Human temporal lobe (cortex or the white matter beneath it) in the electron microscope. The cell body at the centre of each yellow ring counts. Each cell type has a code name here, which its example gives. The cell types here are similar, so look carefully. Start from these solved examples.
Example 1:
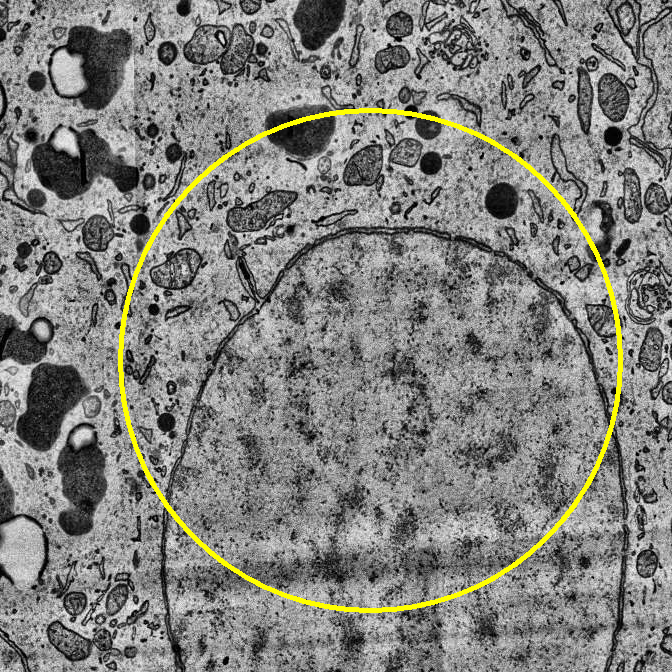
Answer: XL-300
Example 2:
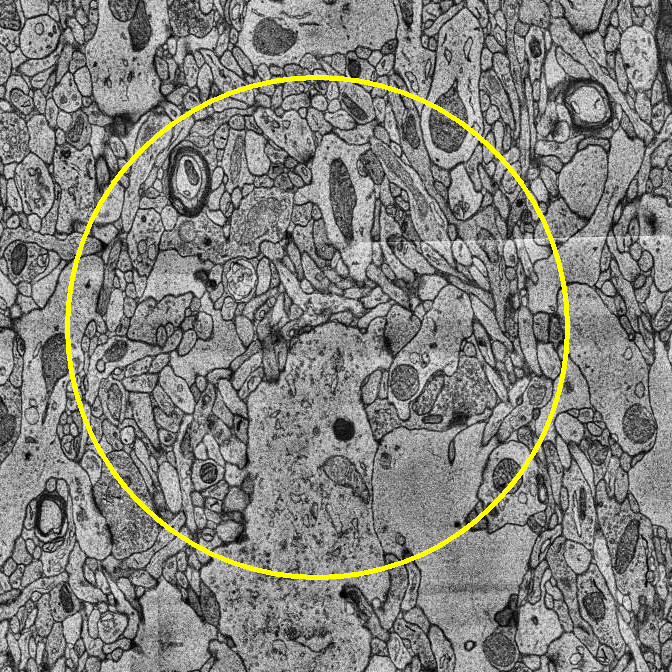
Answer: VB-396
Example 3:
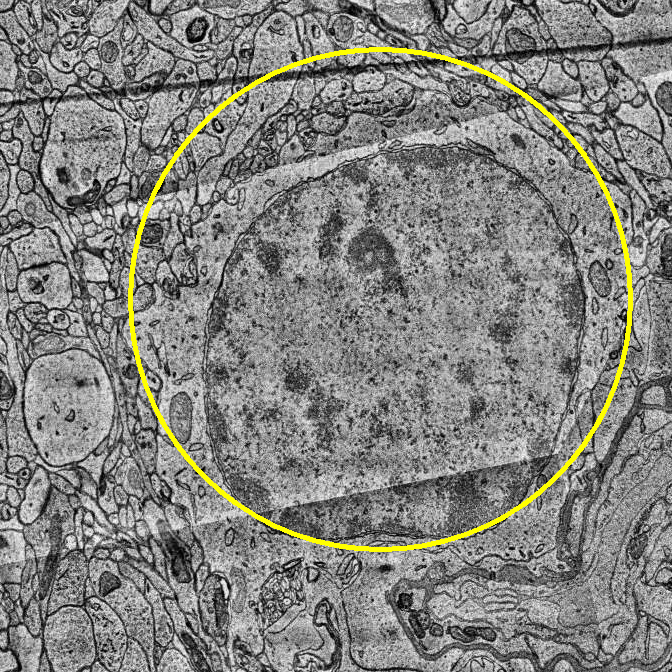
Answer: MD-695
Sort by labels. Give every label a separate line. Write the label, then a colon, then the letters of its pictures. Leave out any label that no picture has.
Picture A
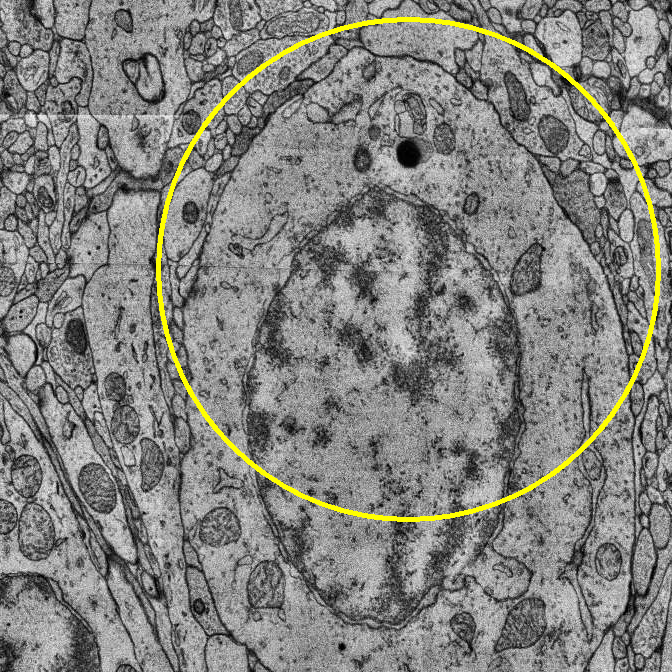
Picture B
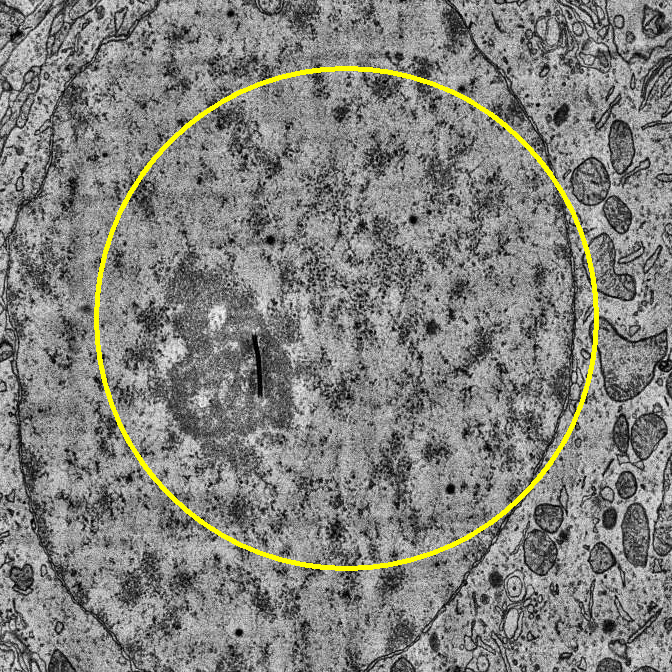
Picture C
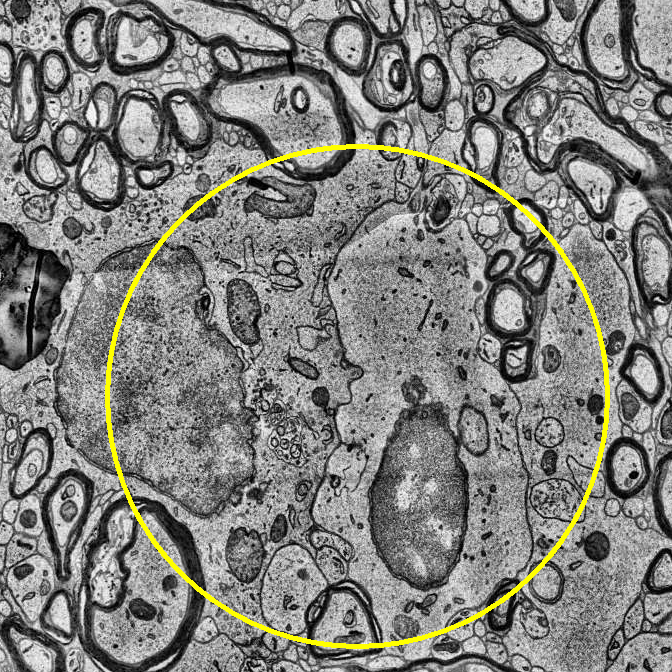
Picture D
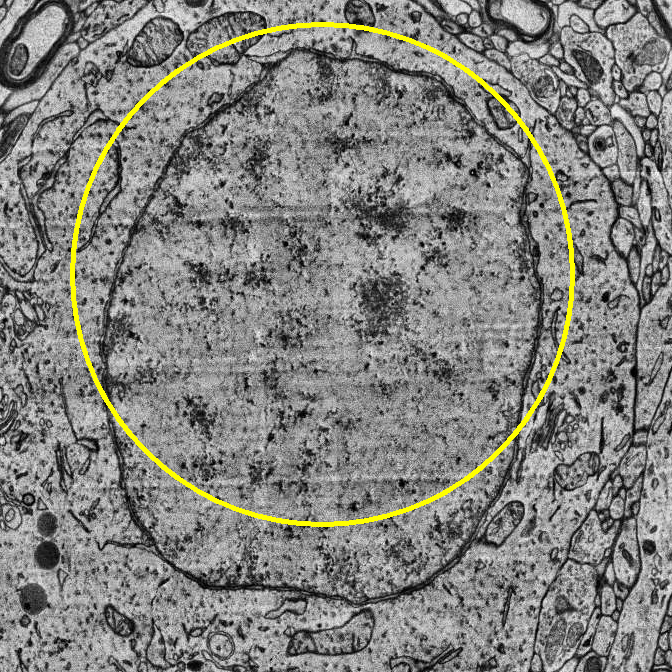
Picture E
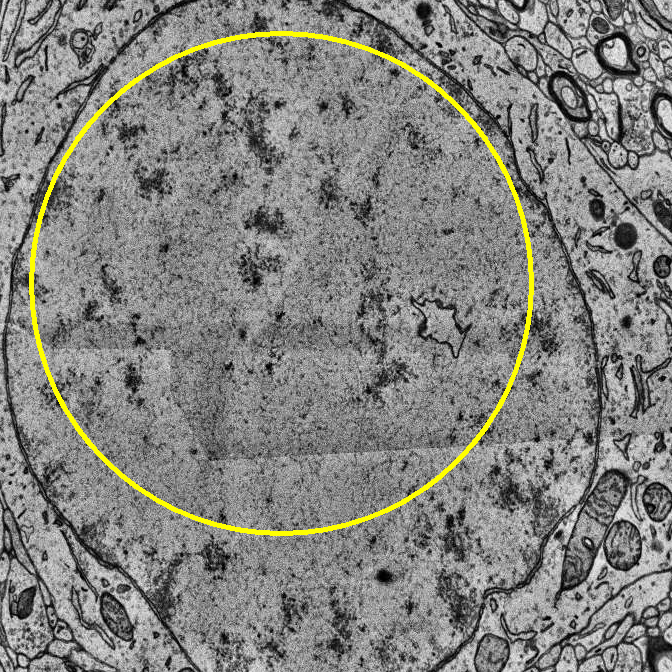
XL-300: A, D, E
VB-396: B
MD-695: C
